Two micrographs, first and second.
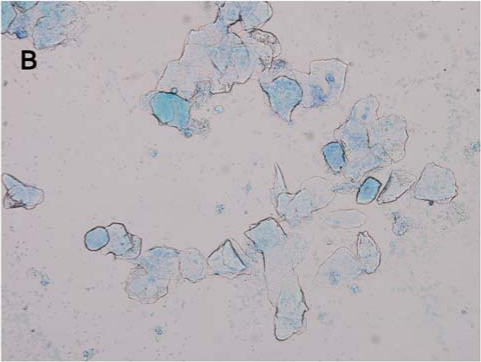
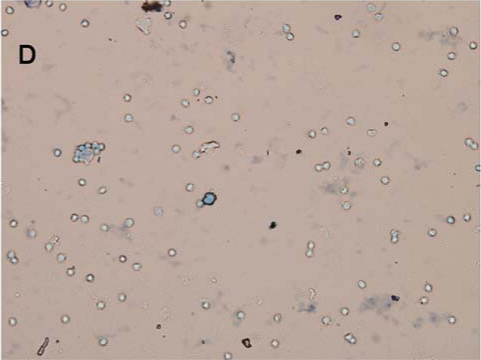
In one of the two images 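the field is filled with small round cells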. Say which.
The second image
